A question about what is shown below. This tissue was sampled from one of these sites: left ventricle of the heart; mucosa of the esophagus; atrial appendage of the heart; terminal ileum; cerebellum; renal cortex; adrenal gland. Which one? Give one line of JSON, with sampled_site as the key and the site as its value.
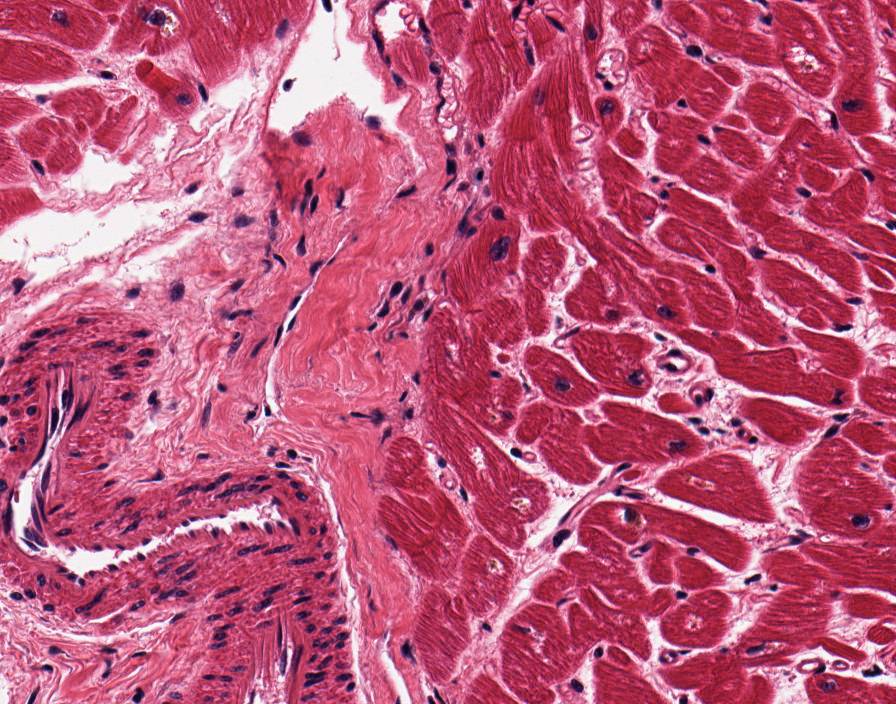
{"sampled_site": "left ventricle of the heart"}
